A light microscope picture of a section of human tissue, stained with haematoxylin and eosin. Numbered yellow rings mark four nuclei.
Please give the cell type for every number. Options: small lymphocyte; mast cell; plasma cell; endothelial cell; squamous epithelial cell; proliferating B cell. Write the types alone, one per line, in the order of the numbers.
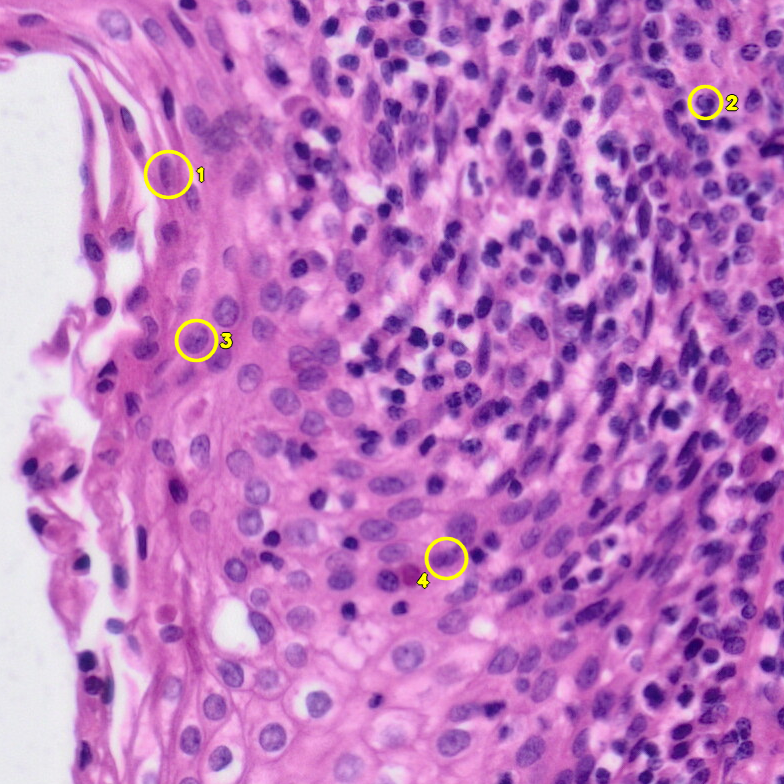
squamous epithelial cell
plasma cell
squamous epithelial cell
squamous epithelial cell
